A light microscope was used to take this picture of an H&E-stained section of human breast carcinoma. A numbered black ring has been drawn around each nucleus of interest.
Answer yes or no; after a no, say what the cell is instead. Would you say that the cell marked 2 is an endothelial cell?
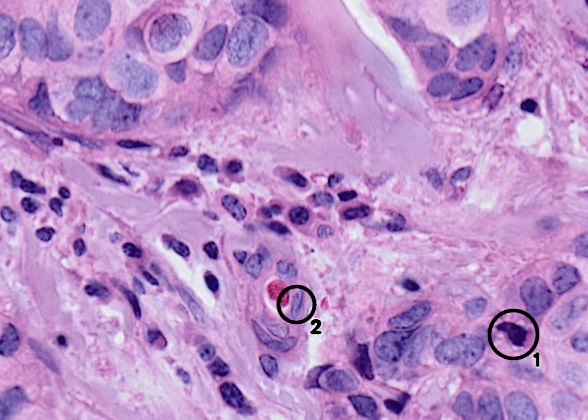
Yes.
